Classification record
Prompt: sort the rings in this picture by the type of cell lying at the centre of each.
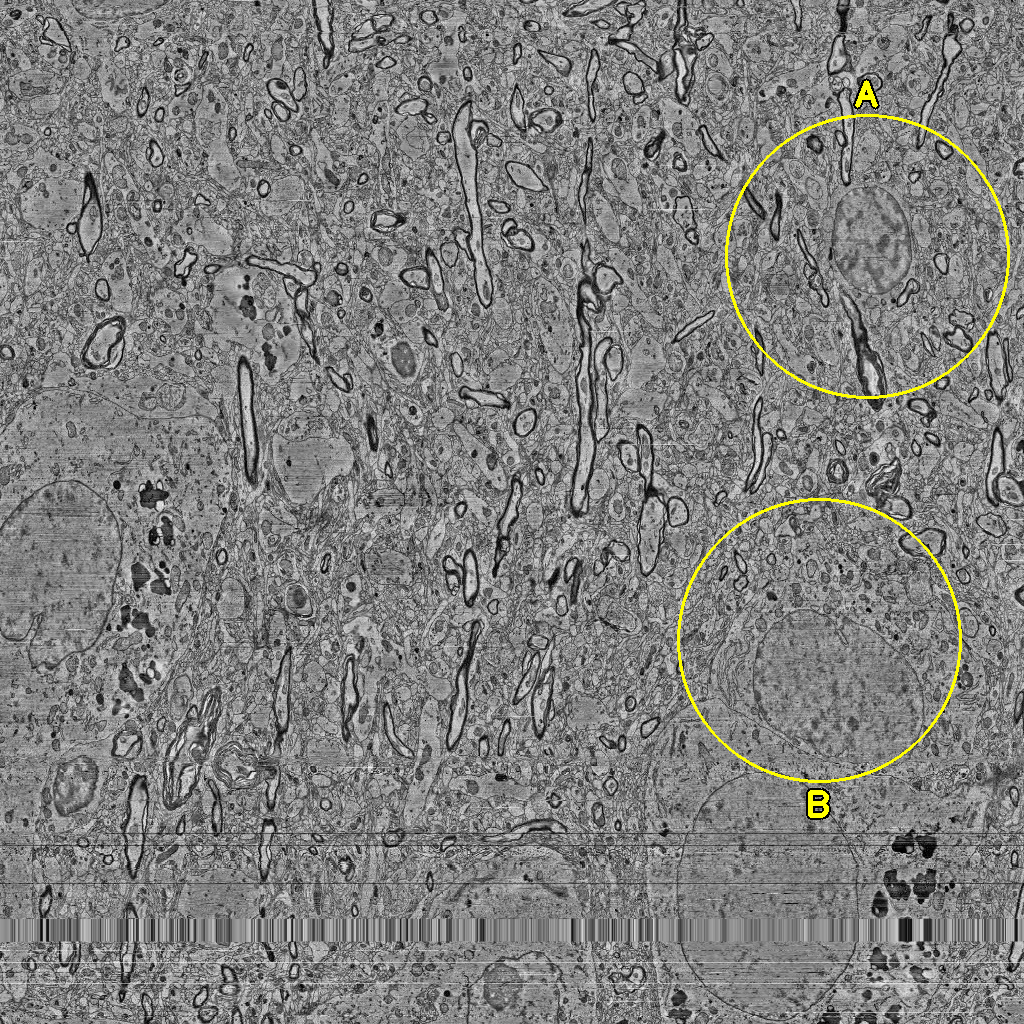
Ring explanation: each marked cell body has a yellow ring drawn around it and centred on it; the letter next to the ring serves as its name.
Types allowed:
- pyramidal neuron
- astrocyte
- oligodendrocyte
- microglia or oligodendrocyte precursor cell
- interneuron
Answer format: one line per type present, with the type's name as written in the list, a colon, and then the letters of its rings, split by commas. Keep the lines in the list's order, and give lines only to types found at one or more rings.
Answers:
oligodendrocyte: A
interneuron: B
